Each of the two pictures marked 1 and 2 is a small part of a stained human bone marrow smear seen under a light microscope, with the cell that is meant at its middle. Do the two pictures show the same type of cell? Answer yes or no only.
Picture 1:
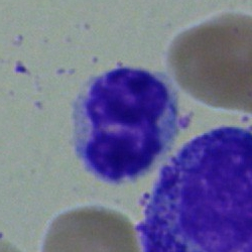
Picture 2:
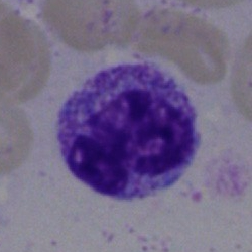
no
